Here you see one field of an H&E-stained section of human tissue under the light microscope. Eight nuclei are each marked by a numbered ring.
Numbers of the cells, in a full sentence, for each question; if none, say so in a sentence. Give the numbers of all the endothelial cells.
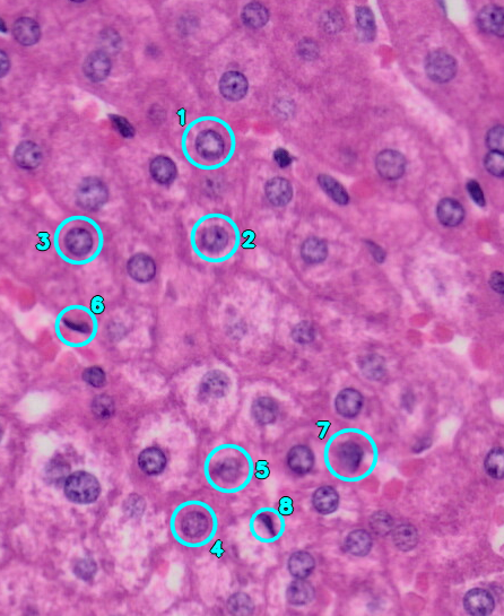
The cells 6 and 7 in this section are endothelial cells.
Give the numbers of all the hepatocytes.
So, the cells with numbers 1, 2, 3, 4 and 5 are hepatocytes.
